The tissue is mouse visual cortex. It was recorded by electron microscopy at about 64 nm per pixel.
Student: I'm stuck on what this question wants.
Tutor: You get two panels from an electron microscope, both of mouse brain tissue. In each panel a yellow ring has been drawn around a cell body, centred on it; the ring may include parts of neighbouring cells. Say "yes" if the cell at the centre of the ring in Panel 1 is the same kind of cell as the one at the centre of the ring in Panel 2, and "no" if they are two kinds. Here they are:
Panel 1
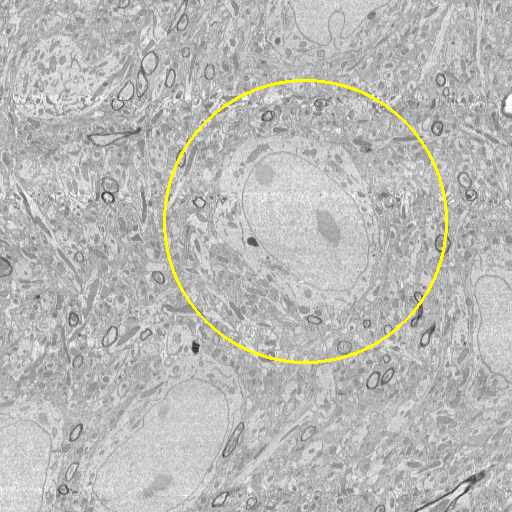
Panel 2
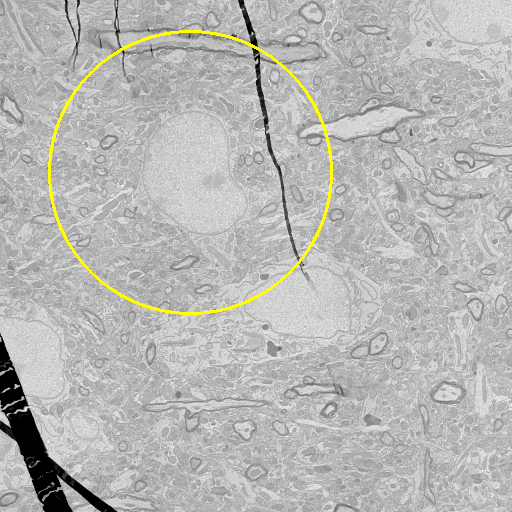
no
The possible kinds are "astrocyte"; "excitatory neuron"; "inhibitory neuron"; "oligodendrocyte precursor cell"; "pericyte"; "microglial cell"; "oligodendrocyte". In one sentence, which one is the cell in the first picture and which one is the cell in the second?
The cell ringed in the second picture is an astrocyte, whereas the one ringed in the first is an excitatory neuron.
